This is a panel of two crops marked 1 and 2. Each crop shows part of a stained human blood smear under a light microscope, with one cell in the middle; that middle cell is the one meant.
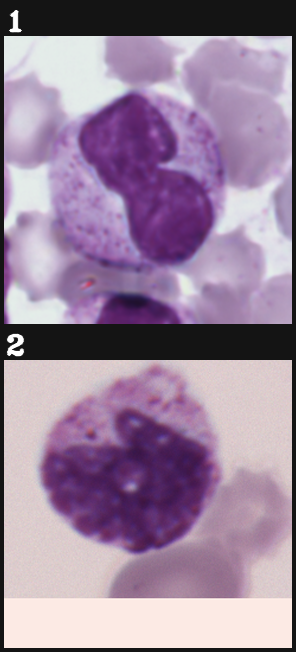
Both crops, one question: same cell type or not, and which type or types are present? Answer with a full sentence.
Yes, in the middle of both crops, band neutrophils are shown.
